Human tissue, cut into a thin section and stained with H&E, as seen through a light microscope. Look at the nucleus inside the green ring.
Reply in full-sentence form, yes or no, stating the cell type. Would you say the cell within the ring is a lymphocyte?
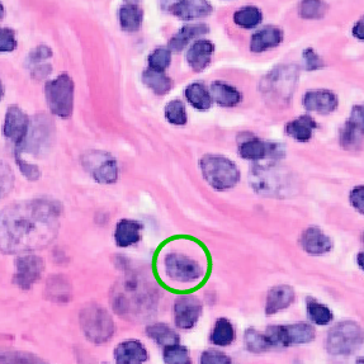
Yes, the cell within the ring in this section represents a lymphocyte.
